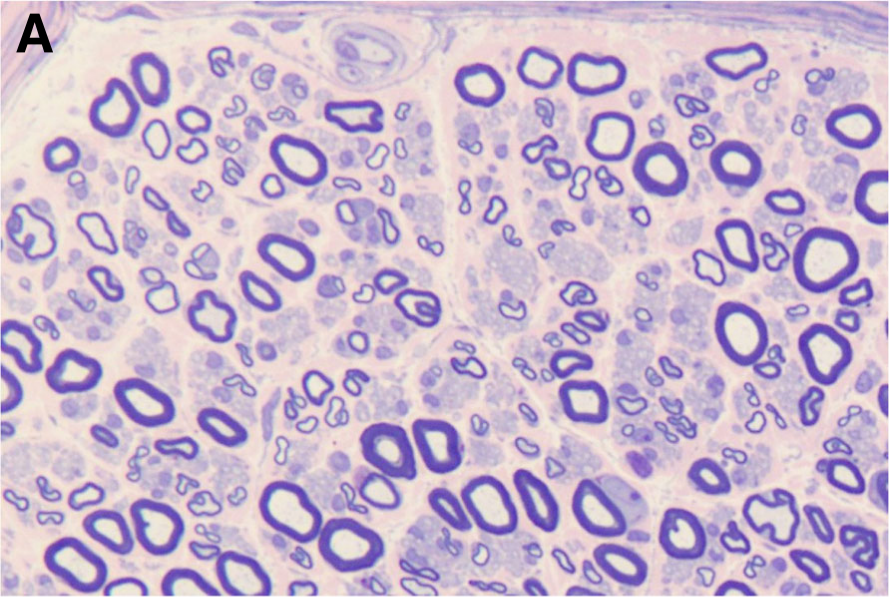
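This is a transverse semithin section of a peripheral nerve fascicle showing myelinated nerve fibers cut in cross section. Each myelinated fiber appears as a dark blue ring of myelin around a pale, unstained axon, and the fibers range from small to large in diameter. Some fibers have irregular, folded or crenated outlines rather than smooth round profiles. Between the myelinated fibers lie pale lilac clusters of small profiles in the endoneurium, and thin pale septa divide the field. A layered perineurial sheath runs along the top edge, and no clusters of inflammatory cells are seen.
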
